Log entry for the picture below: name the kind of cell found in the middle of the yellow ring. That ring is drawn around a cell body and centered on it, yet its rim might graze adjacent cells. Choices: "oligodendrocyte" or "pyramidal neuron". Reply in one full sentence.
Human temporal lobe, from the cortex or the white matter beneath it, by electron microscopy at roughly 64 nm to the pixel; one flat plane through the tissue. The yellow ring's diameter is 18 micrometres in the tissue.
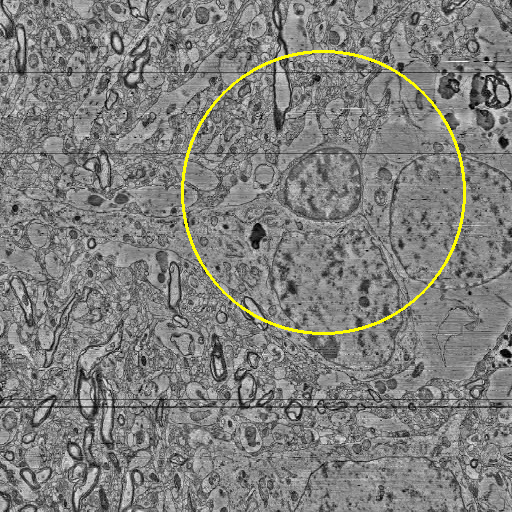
The cell in the middle of the yellow ring in this picture is an oligodendrocyte.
